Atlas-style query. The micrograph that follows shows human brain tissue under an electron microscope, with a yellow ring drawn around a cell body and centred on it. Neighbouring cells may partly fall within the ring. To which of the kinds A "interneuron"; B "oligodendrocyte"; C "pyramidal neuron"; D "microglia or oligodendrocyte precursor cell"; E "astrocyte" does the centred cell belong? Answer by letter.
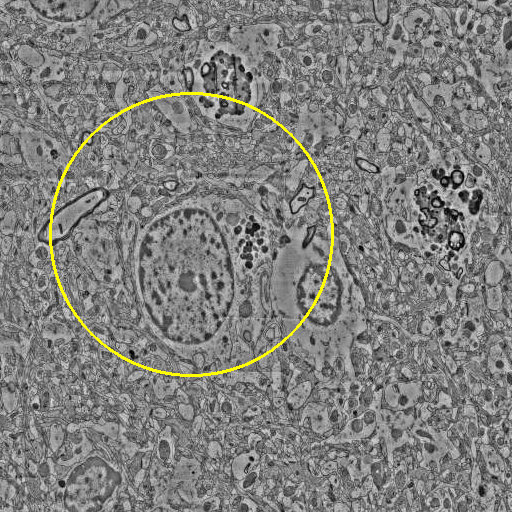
E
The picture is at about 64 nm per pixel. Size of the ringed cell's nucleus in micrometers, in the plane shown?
About 8 by 6 micrometers, in this plane.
